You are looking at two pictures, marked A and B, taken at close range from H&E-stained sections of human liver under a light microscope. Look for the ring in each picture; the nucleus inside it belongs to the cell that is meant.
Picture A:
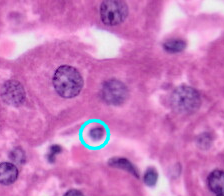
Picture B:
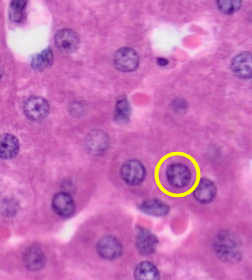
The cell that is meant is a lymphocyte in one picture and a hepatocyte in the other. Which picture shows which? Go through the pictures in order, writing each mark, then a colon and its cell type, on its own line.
A: lymphocyte
B: hepatocyte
